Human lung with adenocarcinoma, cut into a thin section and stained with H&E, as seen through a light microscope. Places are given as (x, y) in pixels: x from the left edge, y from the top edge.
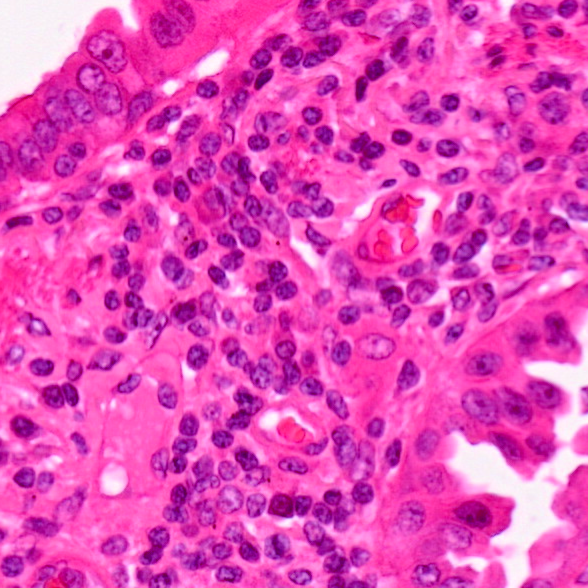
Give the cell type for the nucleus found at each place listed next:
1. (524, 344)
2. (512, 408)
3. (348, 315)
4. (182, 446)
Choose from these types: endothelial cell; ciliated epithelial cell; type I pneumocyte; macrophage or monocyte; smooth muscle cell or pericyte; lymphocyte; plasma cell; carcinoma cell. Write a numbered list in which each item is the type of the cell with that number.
1. carcinoma cell
2. carcinoma cell
3. lymphocyte
4. lymphocyte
